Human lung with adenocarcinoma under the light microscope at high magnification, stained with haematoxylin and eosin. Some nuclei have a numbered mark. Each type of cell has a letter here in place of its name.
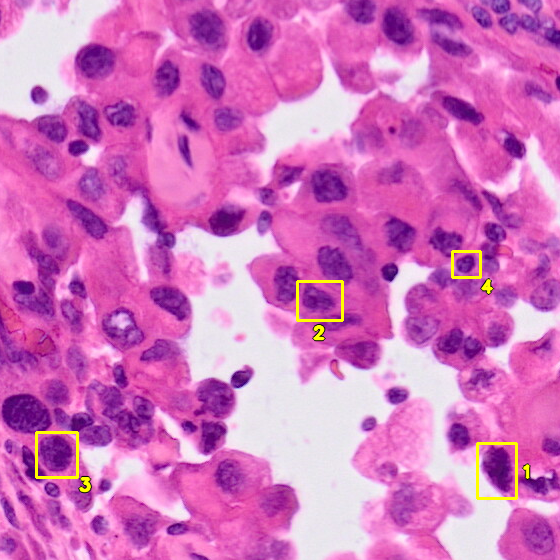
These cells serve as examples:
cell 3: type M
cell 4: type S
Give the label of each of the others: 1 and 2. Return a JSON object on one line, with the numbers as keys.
{"1": "type M", "2": "type M"}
